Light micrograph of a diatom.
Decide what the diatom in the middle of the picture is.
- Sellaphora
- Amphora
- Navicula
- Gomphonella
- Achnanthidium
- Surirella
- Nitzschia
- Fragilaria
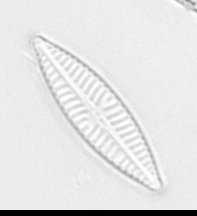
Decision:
Navicula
